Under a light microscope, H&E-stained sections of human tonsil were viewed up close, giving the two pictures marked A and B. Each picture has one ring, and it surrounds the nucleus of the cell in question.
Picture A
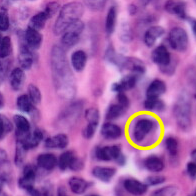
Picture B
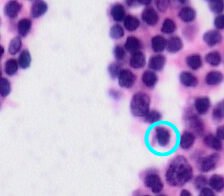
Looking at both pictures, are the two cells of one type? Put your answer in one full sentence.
No, they differ: the cell is a plasma cell in picture A and a small lymphocyte in picture B.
